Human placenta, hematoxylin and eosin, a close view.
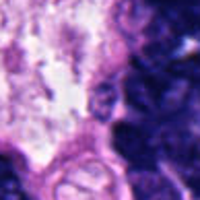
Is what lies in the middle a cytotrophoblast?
No, it is a syncytial knot.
